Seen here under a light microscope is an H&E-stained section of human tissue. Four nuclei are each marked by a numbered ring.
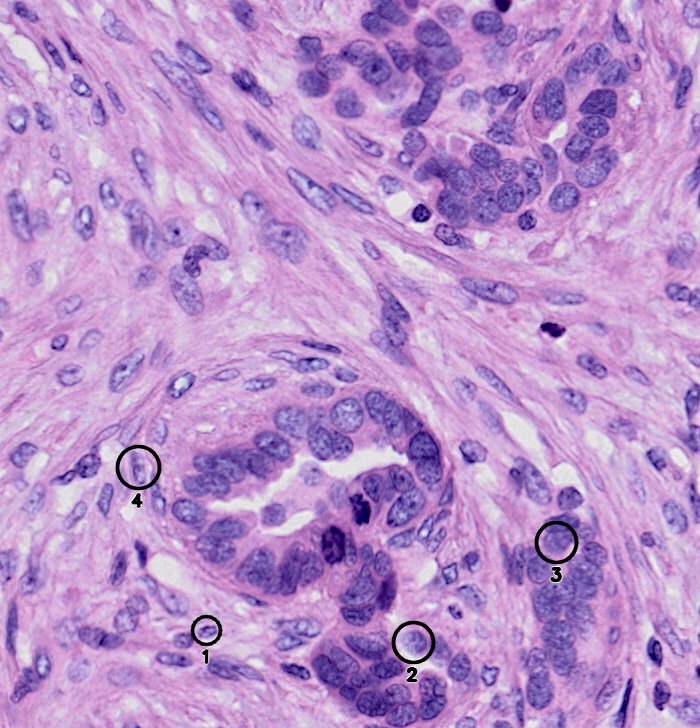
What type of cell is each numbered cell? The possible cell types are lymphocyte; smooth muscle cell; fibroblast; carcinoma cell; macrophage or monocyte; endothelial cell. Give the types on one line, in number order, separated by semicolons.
lymphocyte; carcinoma cell; carcinoma cell; fibroblast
